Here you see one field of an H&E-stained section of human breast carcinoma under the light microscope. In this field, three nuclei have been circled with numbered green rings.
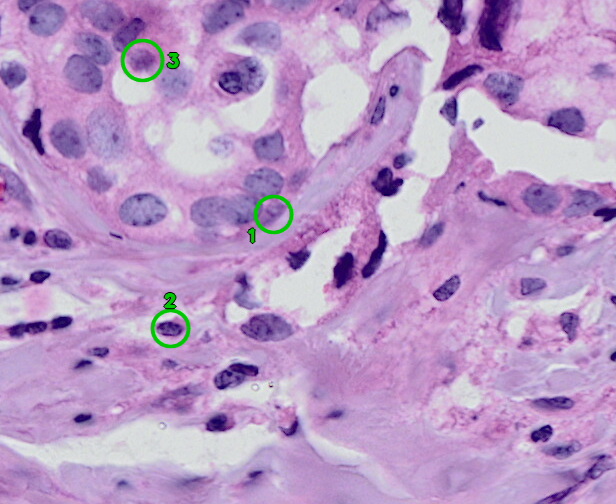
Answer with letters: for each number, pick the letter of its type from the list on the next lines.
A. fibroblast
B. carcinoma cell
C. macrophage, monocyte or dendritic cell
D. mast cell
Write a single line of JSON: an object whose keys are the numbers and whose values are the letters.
{"1": "B", "2": "D", "3": "B"}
